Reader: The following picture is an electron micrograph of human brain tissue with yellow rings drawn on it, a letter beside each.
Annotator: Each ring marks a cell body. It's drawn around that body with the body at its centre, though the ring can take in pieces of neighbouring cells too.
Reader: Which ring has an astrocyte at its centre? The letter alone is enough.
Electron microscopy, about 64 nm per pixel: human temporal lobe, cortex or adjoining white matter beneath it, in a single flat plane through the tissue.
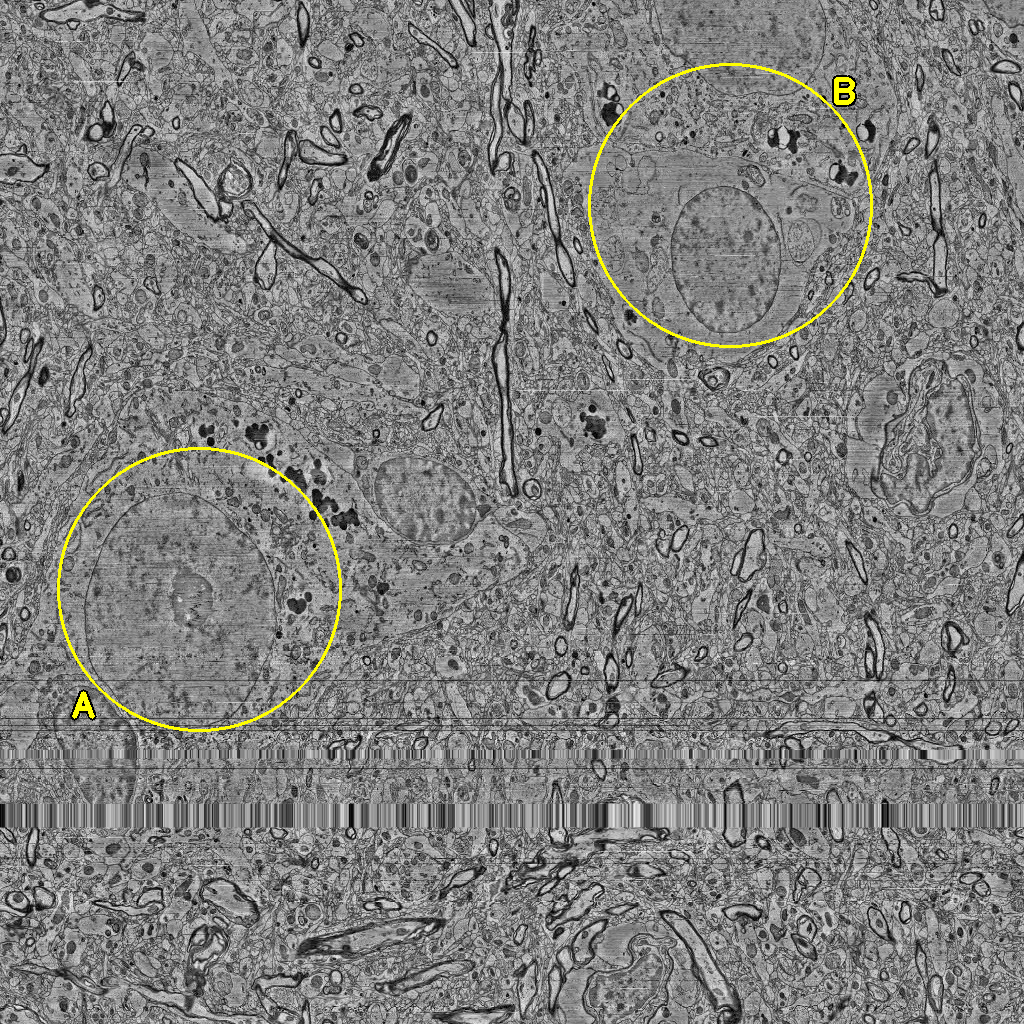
B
